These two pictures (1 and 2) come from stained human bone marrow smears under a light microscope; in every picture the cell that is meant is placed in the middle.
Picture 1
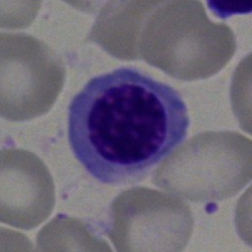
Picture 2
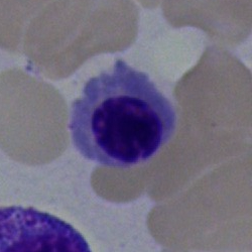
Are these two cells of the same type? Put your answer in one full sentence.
Yes, both are erythroblasts.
